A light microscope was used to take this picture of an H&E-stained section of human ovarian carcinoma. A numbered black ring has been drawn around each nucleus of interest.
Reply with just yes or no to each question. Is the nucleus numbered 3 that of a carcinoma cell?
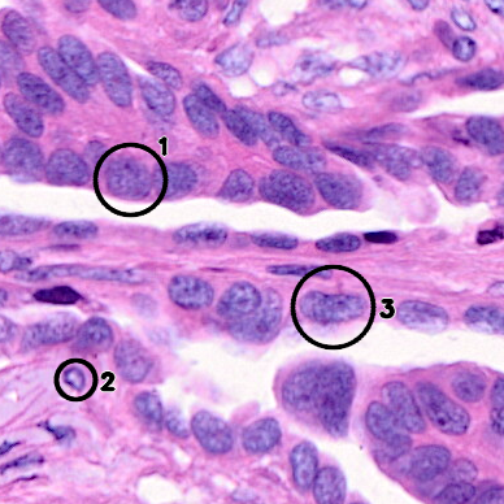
yes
